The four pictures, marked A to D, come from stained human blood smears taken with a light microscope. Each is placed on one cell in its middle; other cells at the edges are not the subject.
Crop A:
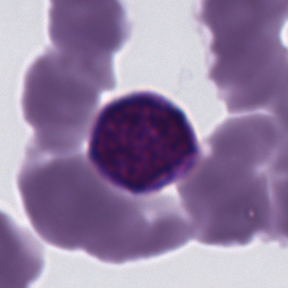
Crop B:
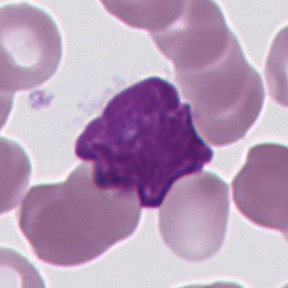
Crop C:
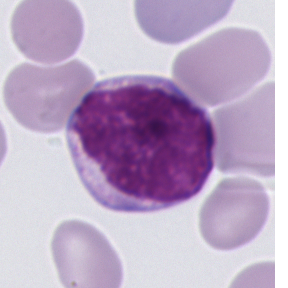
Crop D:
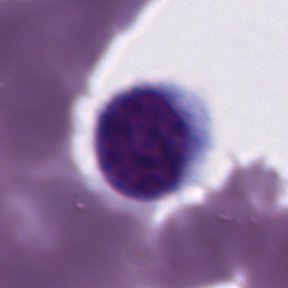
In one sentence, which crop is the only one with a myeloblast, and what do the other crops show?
Crop A holds a myeloblast at its centre, while crop B is a smudge cell, crop C is a large granular lymphocyte and crop D is a hairy cell.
